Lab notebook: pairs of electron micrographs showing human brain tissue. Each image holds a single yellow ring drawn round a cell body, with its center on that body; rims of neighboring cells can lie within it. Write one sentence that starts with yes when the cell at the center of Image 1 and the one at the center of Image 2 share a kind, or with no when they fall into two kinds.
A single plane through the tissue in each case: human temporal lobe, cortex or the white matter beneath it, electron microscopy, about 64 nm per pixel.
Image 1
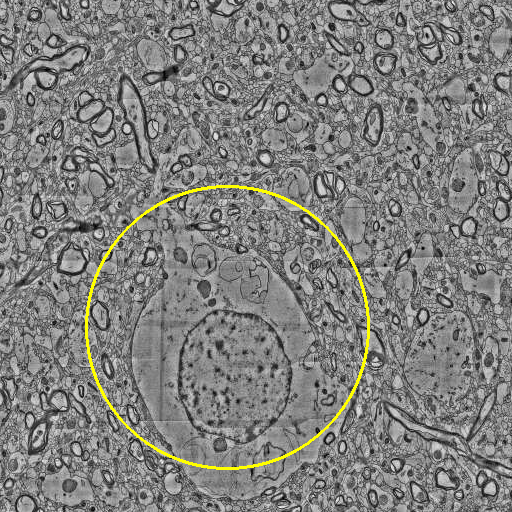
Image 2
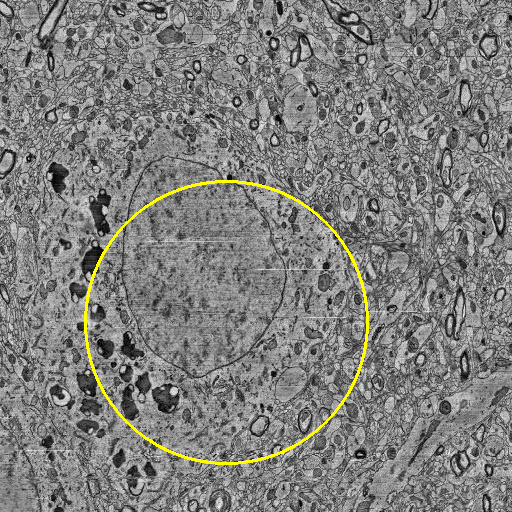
No, the centered cell in Image 1 and the centered cell in Image 2 are of two kinds.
